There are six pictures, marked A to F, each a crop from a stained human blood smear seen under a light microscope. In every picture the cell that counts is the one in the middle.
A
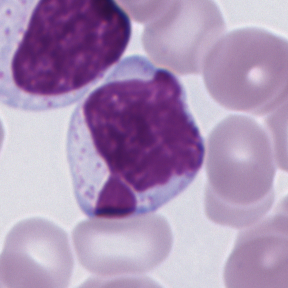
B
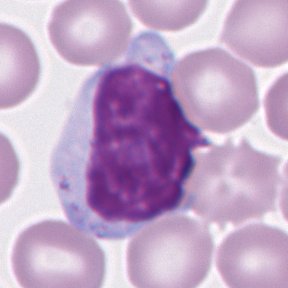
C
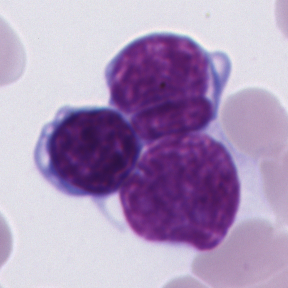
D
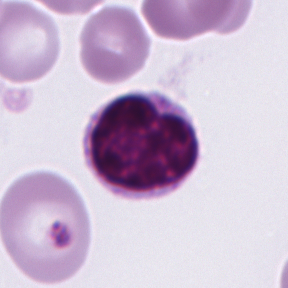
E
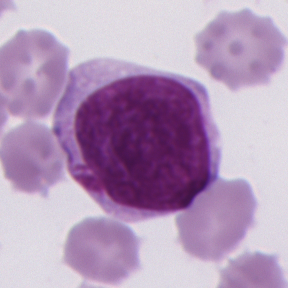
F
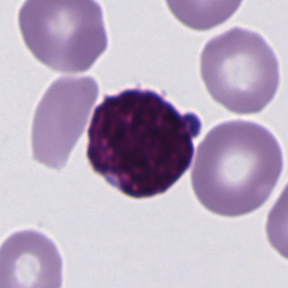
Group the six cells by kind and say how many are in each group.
large granular lymphocyte: 3
myeloblast: 3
